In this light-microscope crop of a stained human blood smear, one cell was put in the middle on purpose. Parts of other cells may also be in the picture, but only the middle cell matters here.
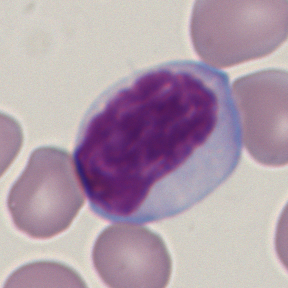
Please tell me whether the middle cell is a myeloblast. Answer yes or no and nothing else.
yes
